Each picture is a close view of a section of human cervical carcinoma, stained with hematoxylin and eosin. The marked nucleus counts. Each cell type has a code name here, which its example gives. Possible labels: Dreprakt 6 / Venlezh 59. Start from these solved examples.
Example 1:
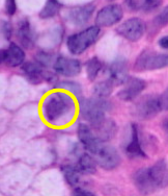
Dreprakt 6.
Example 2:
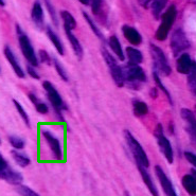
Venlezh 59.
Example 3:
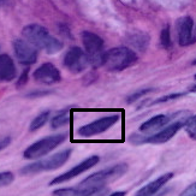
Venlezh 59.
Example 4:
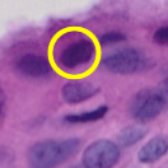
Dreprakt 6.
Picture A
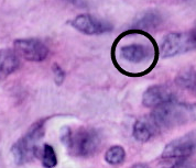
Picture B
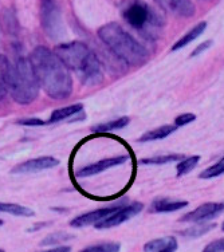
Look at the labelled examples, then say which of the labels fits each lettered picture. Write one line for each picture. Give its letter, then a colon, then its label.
A: Venlezh 59.
B: Venlezh 59.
